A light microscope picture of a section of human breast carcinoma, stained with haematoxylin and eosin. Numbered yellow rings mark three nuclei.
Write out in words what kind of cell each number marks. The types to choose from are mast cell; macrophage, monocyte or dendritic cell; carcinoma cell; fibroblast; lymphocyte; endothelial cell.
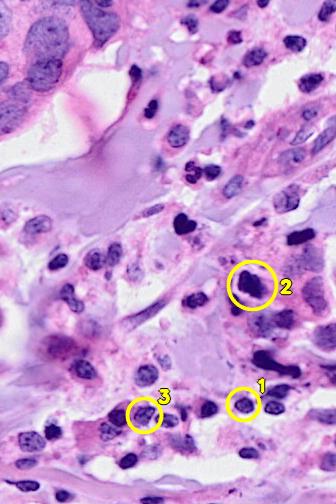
Cells 1 and 3 are lymphocytes. Cell 2 is a carcinoma cell.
